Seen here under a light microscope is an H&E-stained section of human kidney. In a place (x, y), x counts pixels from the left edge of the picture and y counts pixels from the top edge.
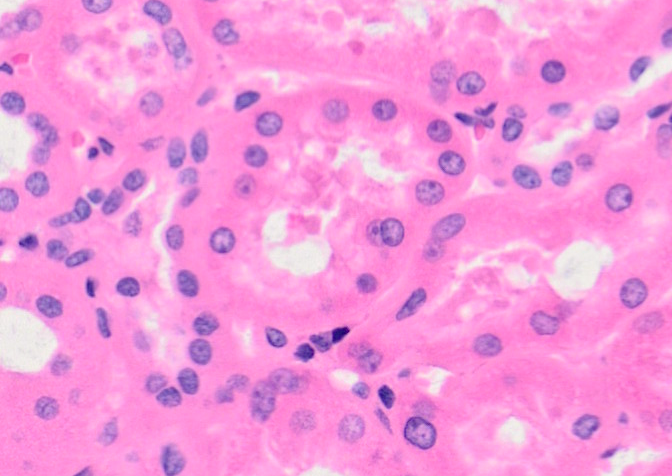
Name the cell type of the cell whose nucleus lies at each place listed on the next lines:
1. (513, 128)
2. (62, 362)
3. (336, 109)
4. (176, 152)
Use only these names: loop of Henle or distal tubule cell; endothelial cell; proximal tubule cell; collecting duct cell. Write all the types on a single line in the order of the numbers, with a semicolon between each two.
collecting duct cell; loop of Henle or distal tubule cell; proximal tubule cell; collecting duct cell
